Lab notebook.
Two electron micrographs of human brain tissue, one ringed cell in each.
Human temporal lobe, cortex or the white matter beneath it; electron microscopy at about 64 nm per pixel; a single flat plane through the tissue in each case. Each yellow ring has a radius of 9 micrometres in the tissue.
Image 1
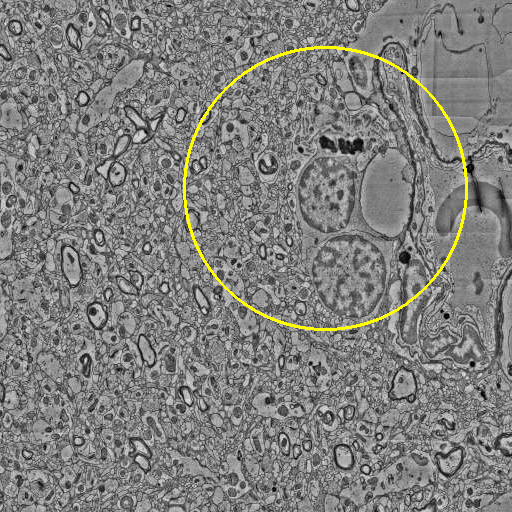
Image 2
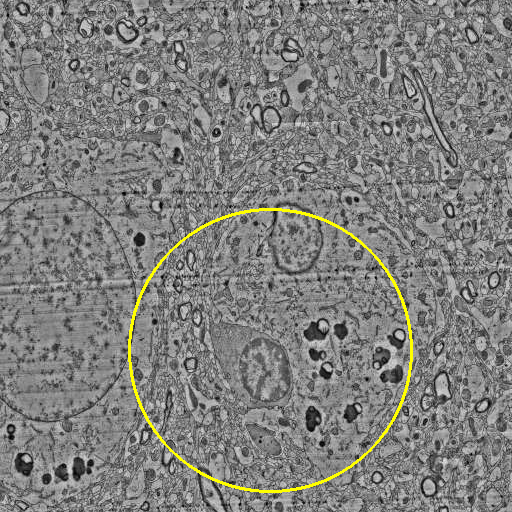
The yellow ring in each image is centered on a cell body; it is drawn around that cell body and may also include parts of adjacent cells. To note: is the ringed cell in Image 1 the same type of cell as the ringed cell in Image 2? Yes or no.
yes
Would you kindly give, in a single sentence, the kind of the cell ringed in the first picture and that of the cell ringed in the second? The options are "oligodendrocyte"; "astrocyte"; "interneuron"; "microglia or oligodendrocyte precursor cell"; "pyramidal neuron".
Each cell, in the first picture and the second, is an oligodendrocyte.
